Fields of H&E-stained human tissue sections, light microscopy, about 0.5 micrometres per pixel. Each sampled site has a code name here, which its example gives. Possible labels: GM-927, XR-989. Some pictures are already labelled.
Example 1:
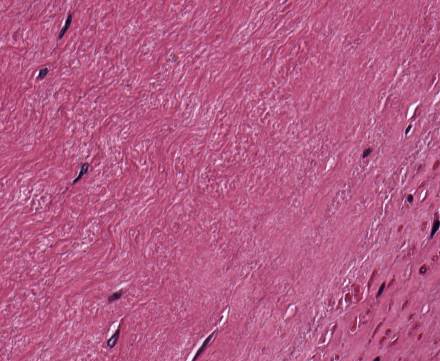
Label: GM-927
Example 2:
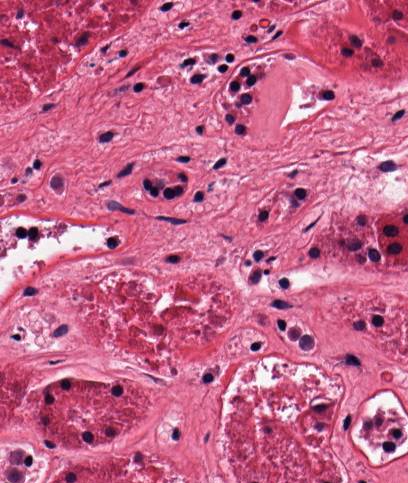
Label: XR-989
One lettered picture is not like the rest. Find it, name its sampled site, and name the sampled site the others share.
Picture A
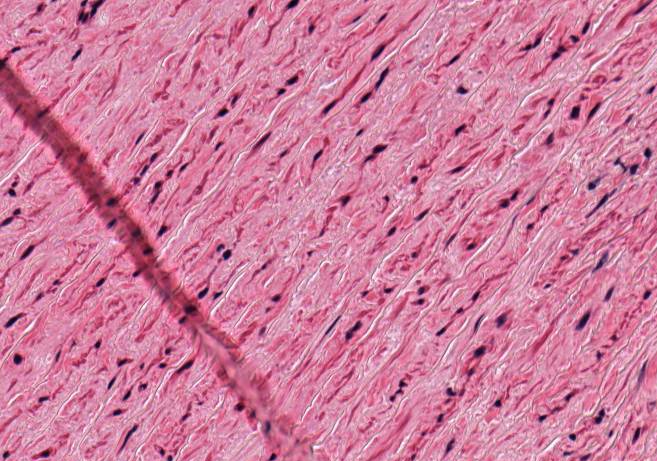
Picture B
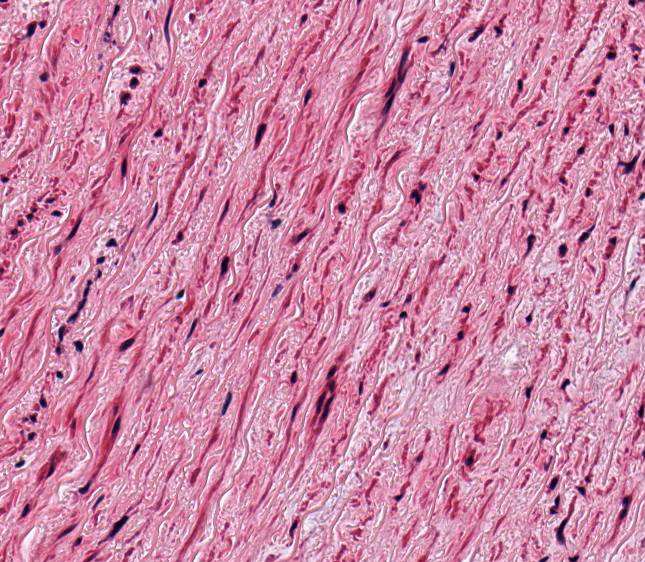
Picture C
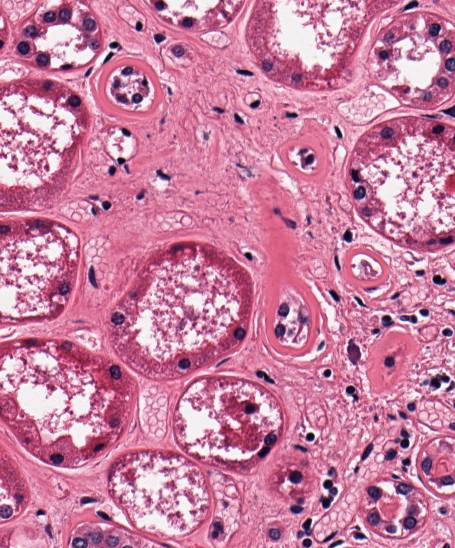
C differs and shows XR-989; the others show GM-927.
